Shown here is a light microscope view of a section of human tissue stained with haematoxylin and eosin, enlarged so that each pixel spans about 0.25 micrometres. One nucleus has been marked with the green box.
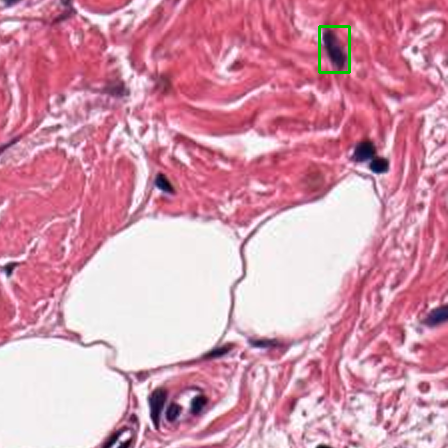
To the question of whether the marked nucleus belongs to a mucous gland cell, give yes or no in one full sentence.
No, the marked nucleus is not that of a mucous gland cell but that of a supporting cell.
